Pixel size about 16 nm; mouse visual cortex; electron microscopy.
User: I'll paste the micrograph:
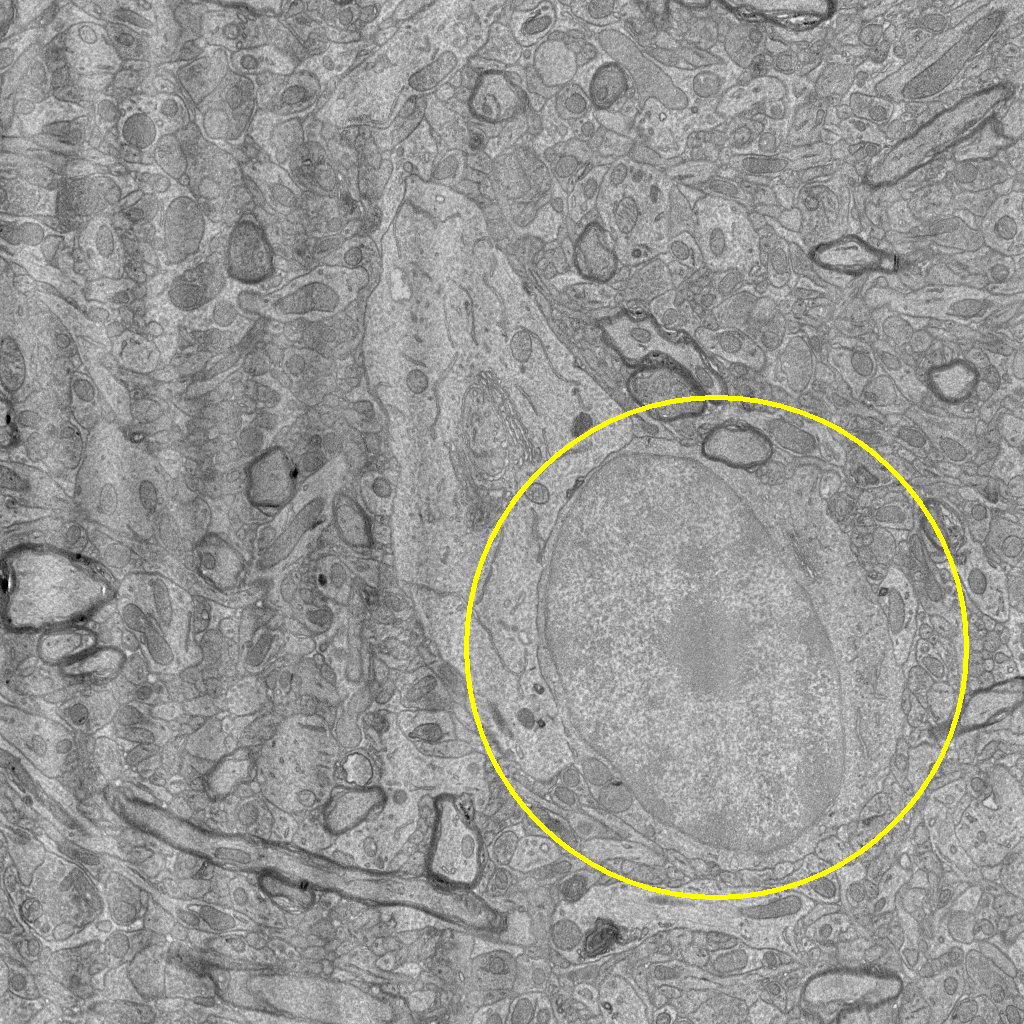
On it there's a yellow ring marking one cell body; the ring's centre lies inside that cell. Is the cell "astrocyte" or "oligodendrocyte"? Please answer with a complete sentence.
The cell at the centre of the yellow ring is an oligodendrocyte.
